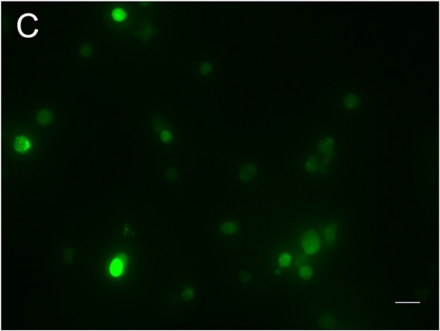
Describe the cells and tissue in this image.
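Most are round to slightly oval, and a few have an irregular outline. The strength of the green glow varies widely. Many cells are dim and hazy. Several cells show a brighter rim or a granular inner texture. No processes or cell layers are visible. The cells differ somewhat in size but are all of similar small scale.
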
